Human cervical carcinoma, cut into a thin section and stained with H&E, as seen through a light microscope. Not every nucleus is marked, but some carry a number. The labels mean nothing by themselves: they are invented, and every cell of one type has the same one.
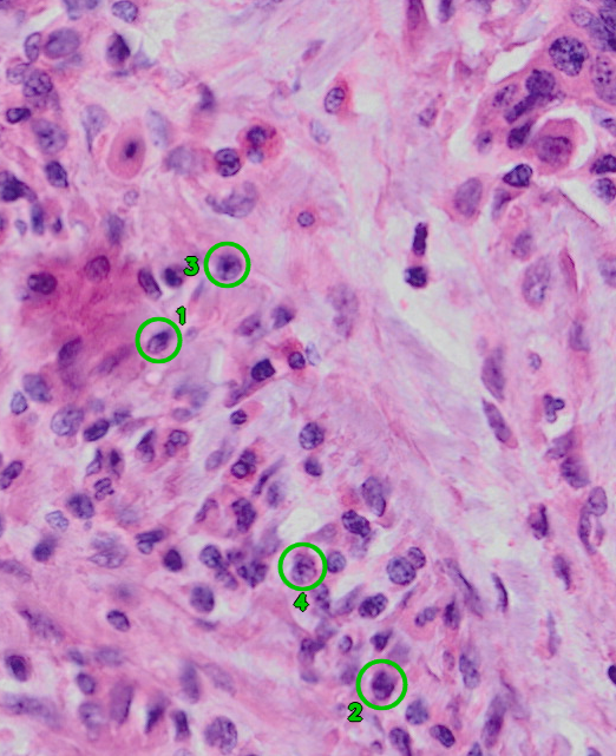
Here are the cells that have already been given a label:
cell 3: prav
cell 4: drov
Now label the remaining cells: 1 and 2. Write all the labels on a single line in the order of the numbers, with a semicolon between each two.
prav; prav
